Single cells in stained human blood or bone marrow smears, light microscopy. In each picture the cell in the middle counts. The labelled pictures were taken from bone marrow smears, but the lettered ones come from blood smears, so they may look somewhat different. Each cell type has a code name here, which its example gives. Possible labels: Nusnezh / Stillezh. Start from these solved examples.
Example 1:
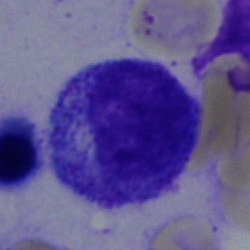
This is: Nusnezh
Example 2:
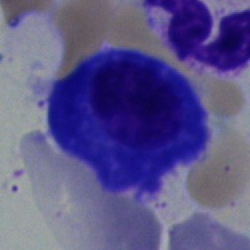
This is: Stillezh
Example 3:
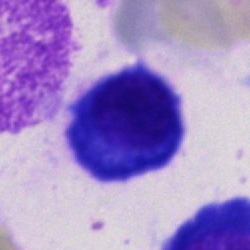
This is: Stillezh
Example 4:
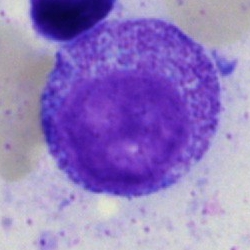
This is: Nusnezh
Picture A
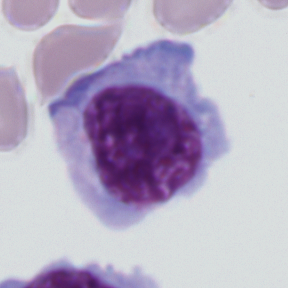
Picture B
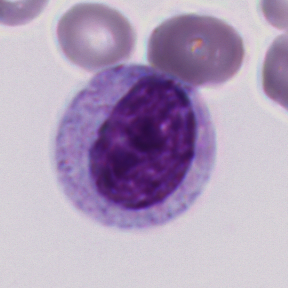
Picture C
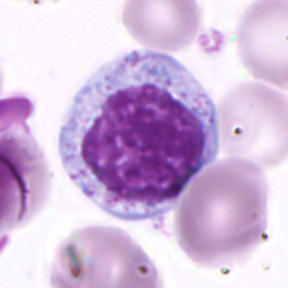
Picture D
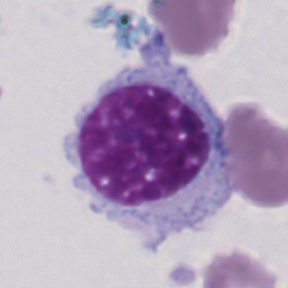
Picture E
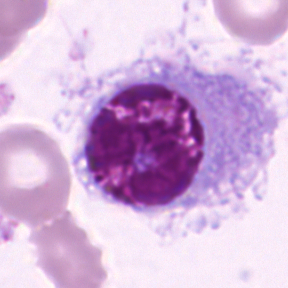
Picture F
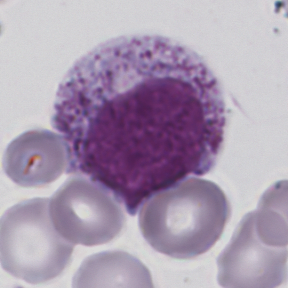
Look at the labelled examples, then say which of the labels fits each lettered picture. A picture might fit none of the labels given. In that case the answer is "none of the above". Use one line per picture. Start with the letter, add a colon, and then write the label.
A: Stillezh
B: Nusnezh
C: Nusnezh
D: Stillezh
E: Stillezh
F: Nusnezh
